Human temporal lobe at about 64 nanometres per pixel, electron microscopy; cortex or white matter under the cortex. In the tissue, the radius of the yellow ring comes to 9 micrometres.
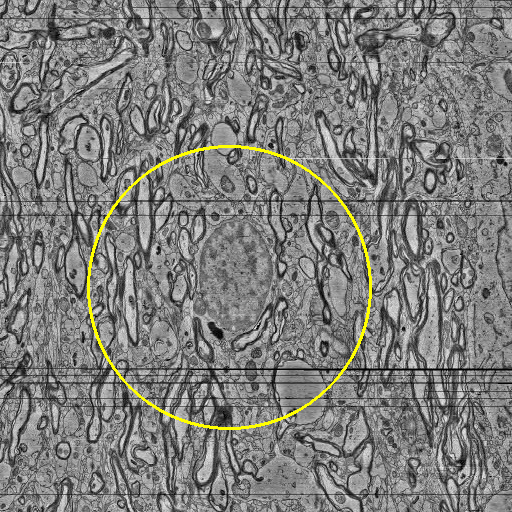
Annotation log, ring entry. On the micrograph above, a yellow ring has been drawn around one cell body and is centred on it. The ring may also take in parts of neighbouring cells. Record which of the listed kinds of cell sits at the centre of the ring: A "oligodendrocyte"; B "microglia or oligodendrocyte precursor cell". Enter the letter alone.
A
